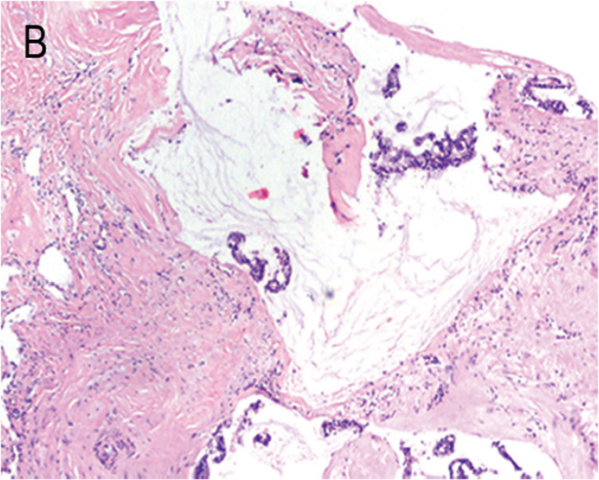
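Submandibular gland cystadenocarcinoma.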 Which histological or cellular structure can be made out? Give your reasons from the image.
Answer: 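Pale, wispy acellular material fills spaces within pink fibrous stroma. Small dark clusters of epithelial cells lie within the pale material.
Hence: mucus lakes.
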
